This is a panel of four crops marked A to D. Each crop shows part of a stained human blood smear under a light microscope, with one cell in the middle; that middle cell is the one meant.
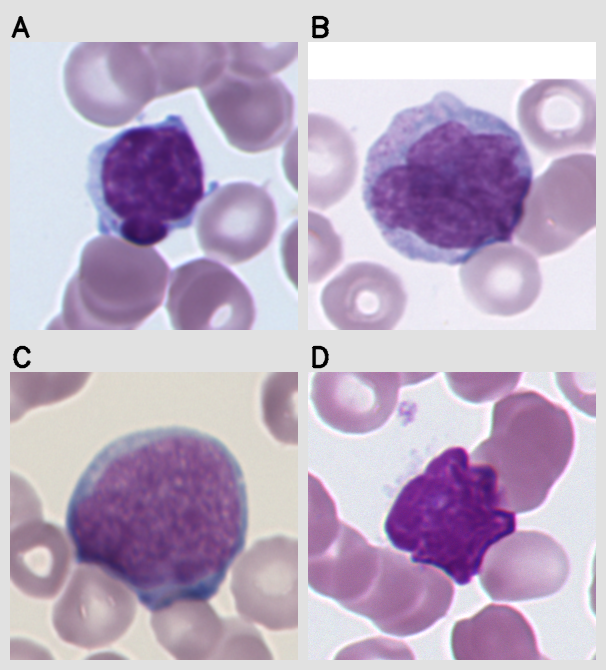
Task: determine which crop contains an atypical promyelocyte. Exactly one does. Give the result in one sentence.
Crop B is the one that shows an atypical promyelocyte.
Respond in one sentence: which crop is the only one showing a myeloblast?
The crop with a myeloblast in it is crop C.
